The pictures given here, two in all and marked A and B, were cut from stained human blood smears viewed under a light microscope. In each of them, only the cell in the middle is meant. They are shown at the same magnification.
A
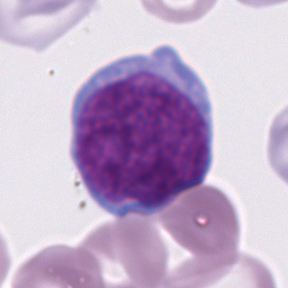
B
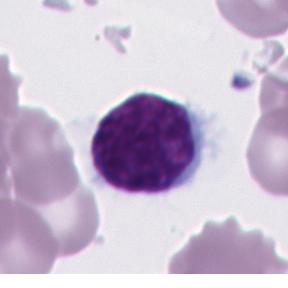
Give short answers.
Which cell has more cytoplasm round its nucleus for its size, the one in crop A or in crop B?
A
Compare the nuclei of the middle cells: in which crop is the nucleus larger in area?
A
